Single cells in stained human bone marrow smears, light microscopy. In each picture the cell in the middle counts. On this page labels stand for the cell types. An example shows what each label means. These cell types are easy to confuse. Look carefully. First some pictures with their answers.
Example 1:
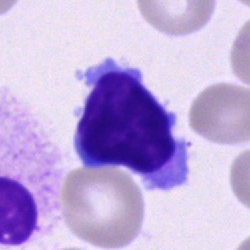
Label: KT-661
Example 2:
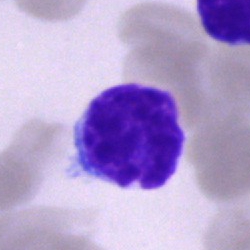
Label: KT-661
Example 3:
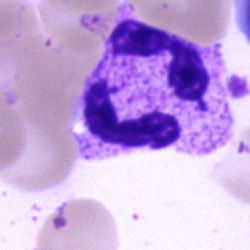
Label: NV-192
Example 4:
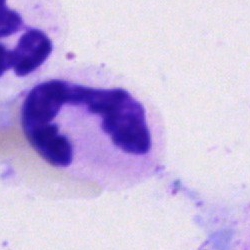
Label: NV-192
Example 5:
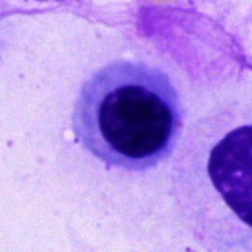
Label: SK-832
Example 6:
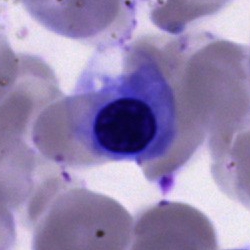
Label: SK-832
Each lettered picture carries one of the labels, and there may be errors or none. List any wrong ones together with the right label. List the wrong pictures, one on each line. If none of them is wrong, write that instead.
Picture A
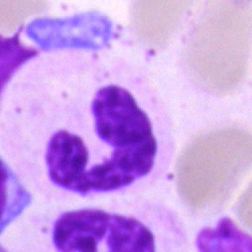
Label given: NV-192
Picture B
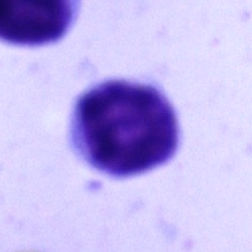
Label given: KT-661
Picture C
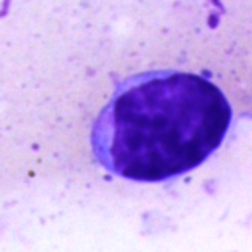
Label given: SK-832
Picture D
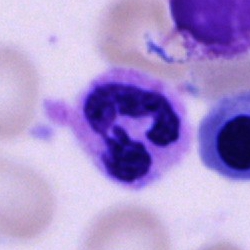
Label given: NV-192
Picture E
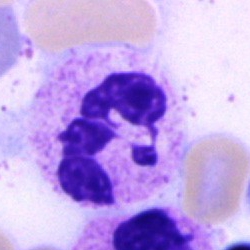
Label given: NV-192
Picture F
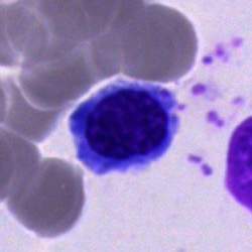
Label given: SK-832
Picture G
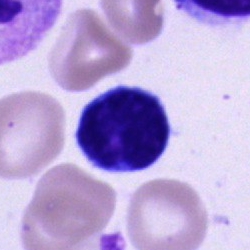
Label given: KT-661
C: not SK-832 but KT-661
